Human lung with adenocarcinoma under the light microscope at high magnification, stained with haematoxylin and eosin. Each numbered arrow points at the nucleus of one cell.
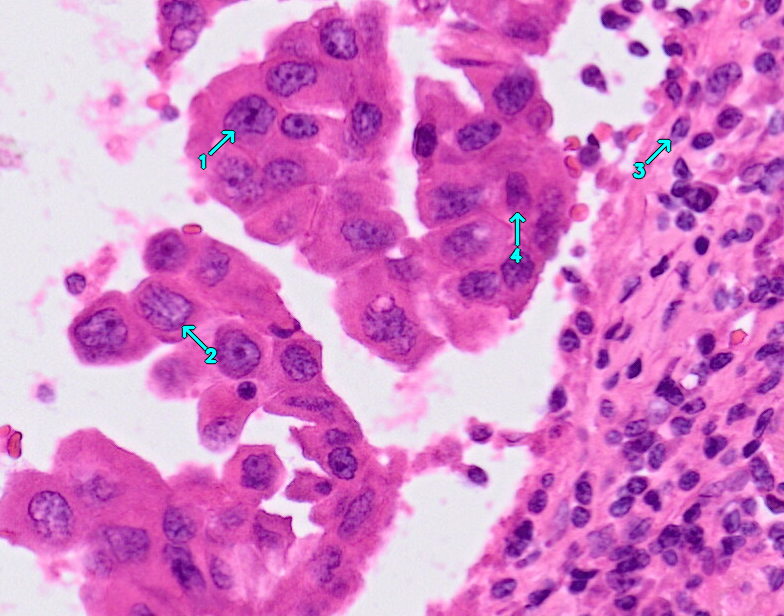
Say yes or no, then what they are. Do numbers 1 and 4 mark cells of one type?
Yes, both are carcinoma cells.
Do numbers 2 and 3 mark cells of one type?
No, cell 2 is a carcinoma cell and cell 3 is a lymphocyte.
